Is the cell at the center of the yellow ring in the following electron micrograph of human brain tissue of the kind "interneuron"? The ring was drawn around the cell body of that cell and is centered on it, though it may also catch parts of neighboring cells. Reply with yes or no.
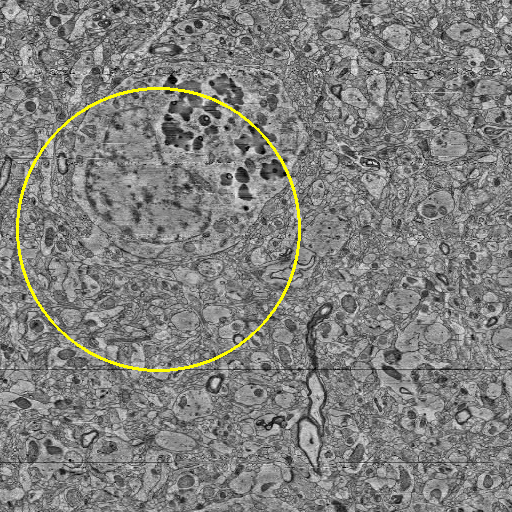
Yes, that is its kind.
